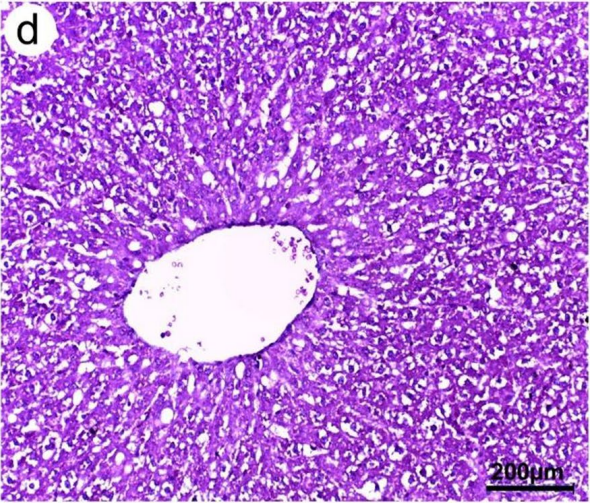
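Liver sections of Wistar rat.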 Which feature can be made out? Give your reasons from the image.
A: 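A large oval clear lumen lies in the middle of the panel. A few red blood cells lie within the lumen. Cords of cells radiate from its wall. That points to this answer: central vein.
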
